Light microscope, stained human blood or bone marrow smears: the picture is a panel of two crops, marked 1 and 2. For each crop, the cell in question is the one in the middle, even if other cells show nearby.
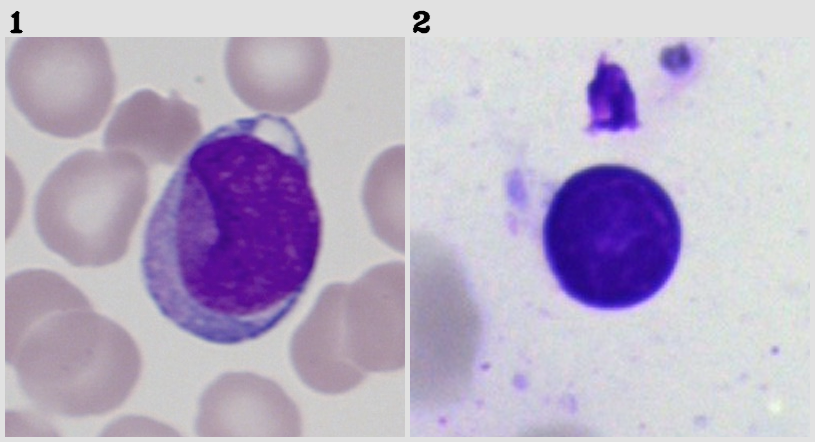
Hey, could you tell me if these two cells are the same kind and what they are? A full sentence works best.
No, look again: crop 1 shows a blast, and crop 2 shows a lymphocyte.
